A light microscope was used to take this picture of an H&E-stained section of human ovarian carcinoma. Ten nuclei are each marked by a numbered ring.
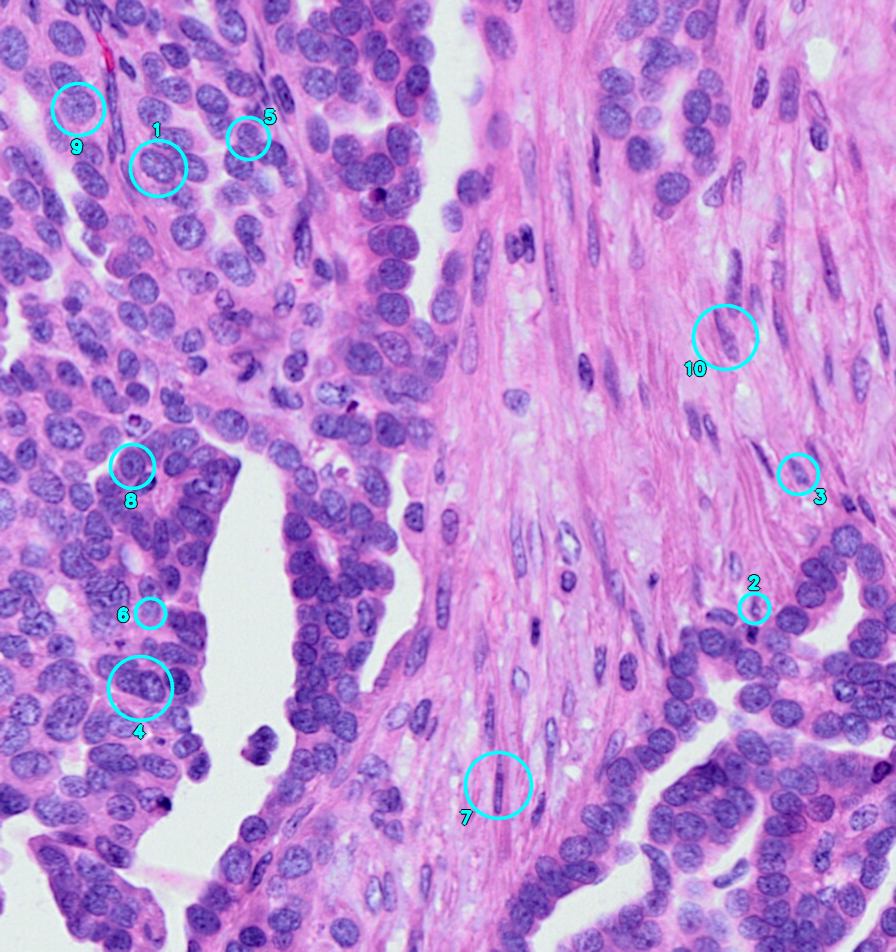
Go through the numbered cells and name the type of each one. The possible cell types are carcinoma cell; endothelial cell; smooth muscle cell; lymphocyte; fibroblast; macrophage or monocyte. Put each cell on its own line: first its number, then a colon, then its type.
1: carcinoma cell
2: fibroblast
3: fibroblast
4: carcinoma cell
5: carcinoma cell
6: carcinoma cell
7: fibroblast
8: carcinoma cell
9: carcinoma cell
10: fibroblast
